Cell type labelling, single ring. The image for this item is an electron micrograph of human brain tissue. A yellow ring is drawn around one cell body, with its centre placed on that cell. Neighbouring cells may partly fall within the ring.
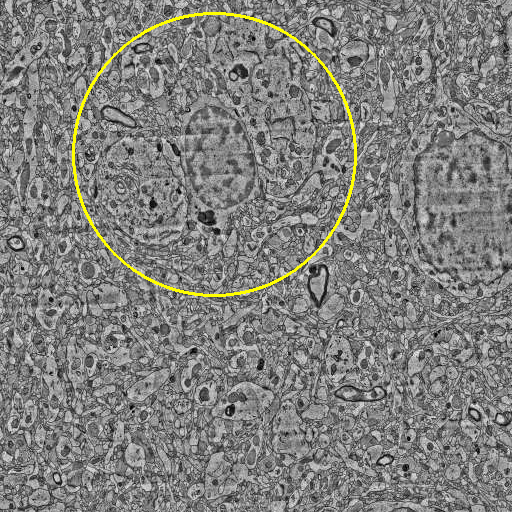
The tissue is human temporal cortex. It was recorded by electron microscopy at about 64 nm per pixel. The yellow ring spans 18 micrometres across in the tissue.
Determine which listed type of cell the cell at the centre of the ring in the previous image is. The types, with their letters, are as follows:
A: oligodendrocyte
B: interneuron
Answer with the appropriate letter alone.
A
